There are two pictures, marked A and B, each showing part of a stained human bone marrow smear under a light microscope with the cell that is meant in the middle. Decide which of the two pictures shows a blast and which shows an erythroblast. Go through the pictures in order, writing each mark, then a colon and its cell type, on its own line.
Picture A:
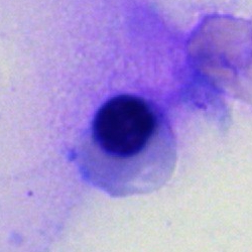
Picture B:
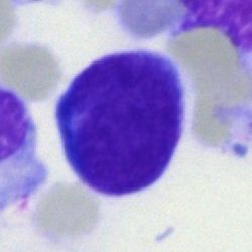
A: erythroblast
B: blast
